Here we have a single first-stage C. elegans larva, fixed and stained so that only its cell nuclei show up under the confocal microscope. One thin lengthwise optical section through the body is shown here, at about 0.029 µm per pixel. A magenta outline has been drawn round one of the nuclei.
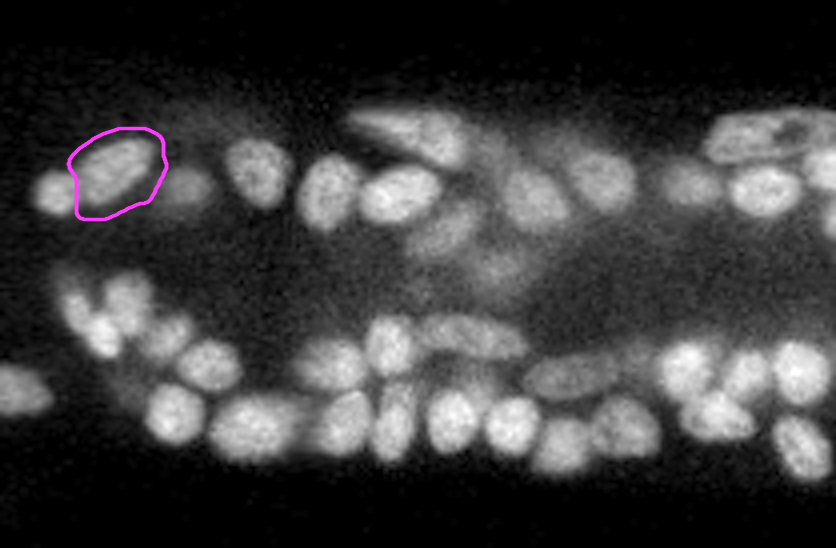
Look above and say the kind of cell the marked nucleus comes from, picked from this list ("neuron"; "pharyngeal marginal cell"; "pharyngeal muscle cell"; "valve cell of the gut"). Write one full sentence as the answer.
What is marked is the nucleus of a valve cell of the gut.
